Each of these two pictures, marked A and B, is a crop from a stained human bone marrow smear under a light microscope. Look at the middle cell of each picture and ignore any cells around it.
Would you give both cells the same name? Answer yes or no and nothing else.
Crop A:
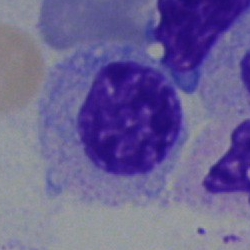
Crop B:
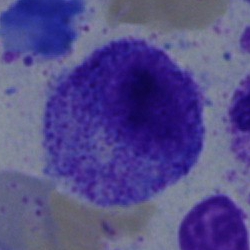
yes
